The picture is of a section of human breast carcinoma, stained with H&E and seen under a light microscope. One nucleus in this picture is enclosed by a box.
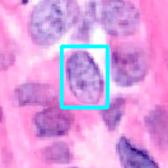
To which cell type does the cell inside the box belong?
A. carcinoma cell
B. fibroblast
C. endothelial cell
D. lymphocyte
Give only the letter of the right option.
A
